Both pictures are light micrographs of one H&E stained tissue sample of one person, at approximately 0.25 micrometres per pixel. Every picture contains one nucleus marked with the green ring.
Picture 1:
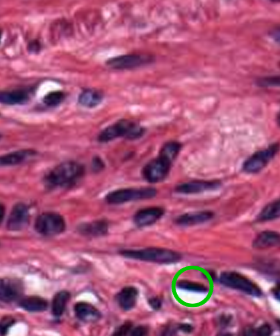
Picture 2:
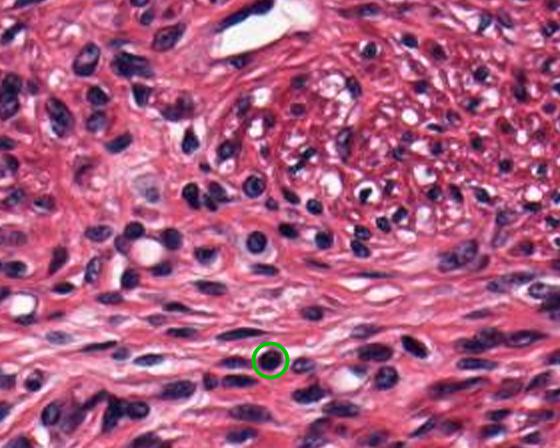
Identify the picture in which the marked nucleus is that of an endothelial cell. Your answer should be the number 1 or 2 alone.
1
